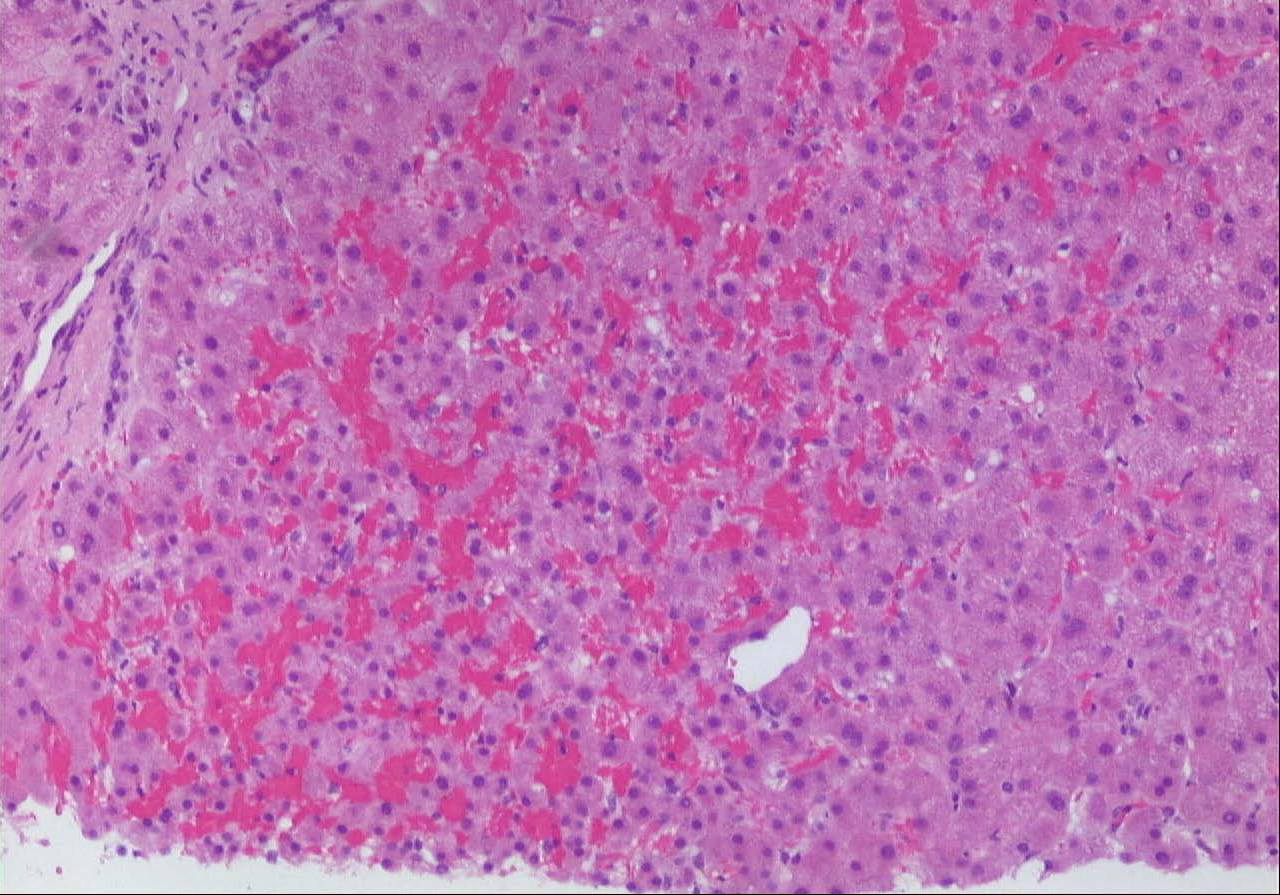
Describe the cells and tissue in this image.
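This is liver tissue made of plates of polygonal liver cells with pink granular cytoplasm and round, centrally placed purple nuclei. Many of the sinusoids between the cell plates are widened and packed with bright red blood, giving irregular, branching red lakes. The congestion is patchy: it is heavy in the left and central parts of the field and much lighter toward the right, where the cell plates lie closely together. A band of fibrous connective tissue with elongated nuclei and a small vessel crosses the upper left corner, and a small empty vascular lumen lies in the lower centre.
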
